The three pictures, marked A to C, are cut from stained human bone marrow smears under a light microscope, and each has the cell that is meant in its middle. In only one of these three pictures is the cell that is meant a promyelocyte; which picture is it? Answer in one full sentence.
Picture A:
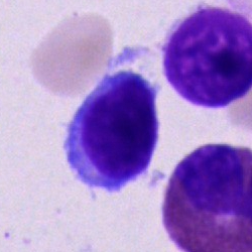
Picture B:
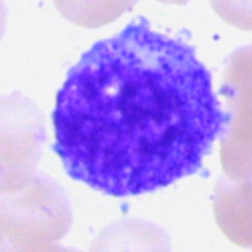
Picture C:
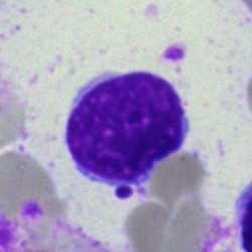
The cell in picture B is the promyelocyte.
